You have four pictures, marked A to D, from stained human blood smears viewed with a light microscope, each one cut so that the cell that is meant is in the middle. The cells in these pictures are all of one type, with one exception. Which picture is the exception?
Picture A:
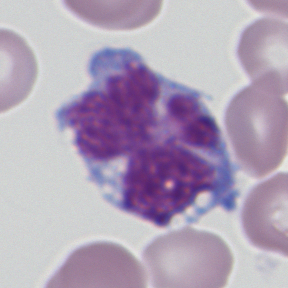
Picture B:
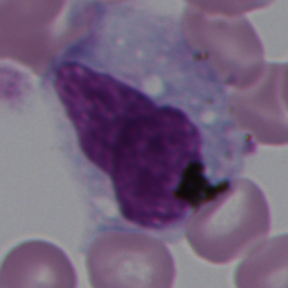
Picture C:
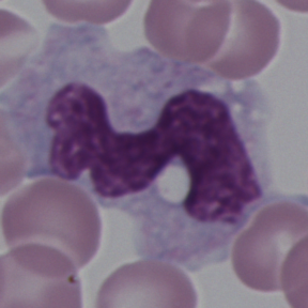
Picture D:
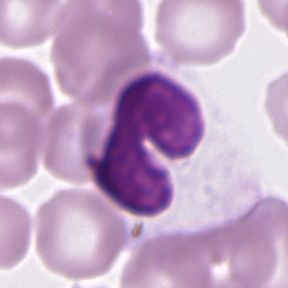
D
